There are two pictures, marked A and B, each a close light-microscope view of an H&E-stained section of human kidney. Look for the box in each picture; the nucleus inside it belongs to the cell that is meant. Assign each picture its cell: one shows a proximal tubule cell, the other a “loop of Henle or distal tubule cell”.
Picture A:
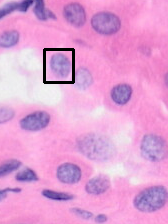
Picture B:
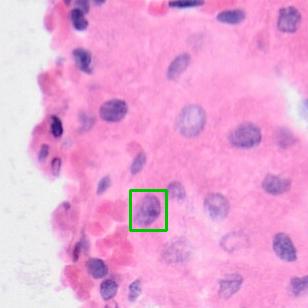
A: loop of Henle or distal tubule cell
B: proximal tubule cell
